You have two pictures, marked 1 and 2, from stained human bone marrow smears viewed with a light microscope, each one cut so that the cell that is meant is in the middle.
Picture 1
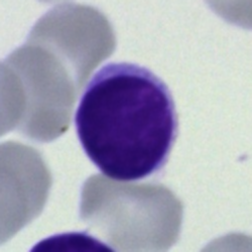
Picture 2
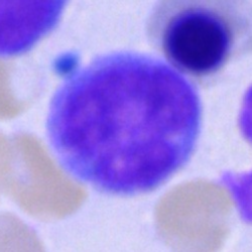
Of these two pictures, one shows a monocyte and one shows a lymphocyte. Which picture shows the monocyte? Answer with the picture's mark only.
2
